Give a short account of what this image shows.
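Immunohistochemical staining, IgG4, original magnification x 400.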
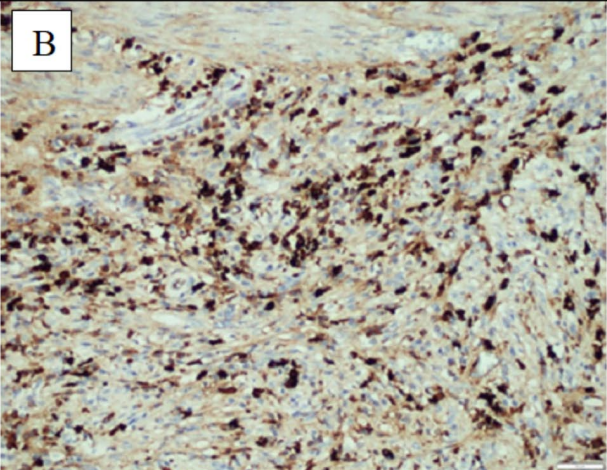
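At high power this field shows a dense crowd of plasma cells scattered through a fibrous stroma. The plasma cells stand out as round to oval cells stained dark brown, many of them lying close together in the centre and upper part of the field. Between them lie spindle-shaped cells with pale blue, elongated nuclei, set in a background with a faint light brown tinge. Toward the top the stroma becomes more fibrous with fewer brown cells. The sheer number of dark brown cells per field is the striking feature here.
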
